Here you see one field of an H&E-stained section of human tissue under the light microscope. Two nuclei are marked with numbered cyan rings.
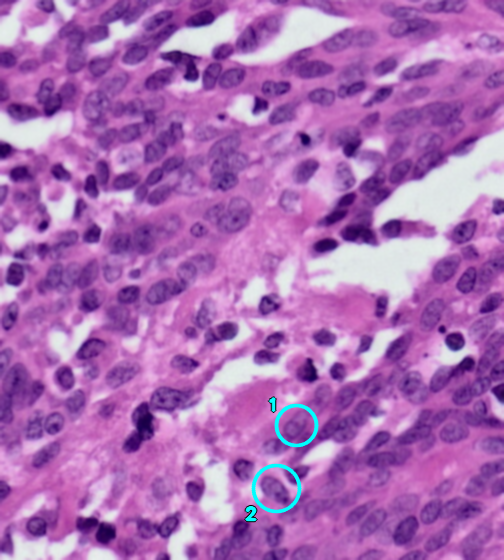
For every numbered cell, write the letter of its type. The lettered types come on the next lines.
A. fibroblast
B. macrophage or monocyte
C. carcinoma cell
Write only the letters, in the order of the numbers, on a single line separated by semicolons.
C; B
